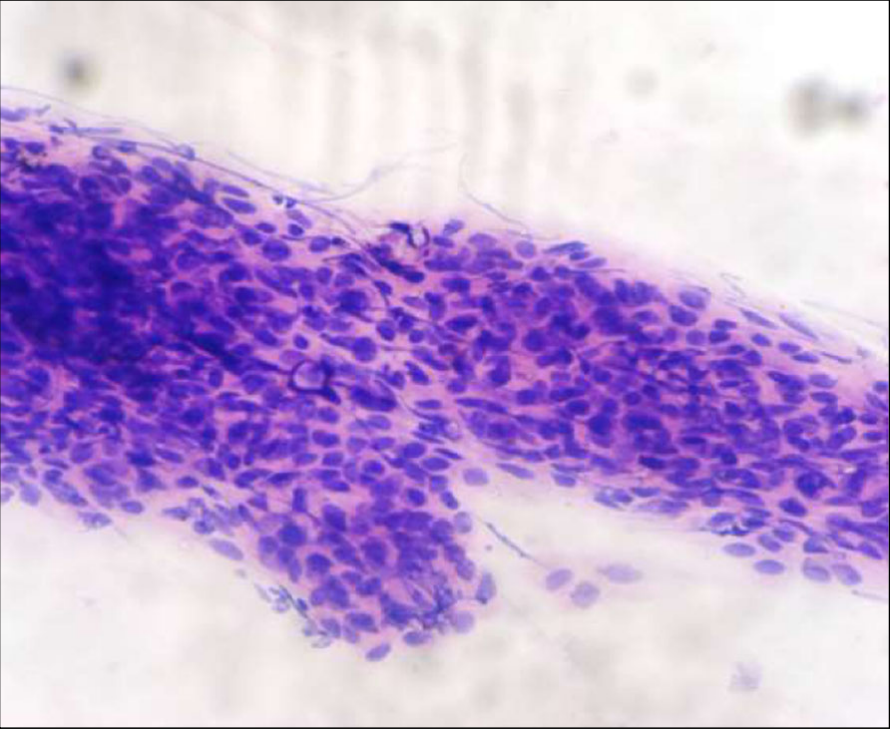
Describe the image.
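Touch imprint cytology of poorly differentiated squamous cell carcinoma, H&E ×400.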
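A cohesive sheet of tumour cells crosses the field as a broad band, which is crowded and overlapping on the left and thins out toward the right. The purple nuclei are oval to elongated and vary in size and shape.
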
